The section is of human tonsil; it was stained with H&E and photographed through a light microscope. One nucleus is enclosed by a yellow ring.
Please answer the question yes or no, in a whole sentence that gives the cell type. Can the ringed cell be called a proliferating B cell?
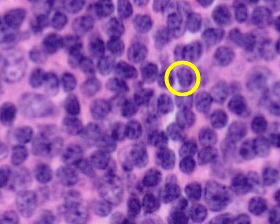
No, the ringed cell is recognized as a small lymphocyte rather than a proliferating B cell.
